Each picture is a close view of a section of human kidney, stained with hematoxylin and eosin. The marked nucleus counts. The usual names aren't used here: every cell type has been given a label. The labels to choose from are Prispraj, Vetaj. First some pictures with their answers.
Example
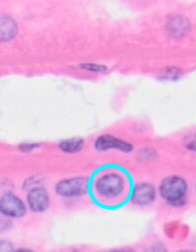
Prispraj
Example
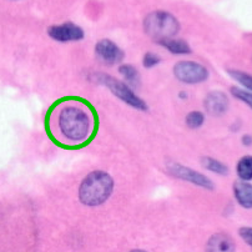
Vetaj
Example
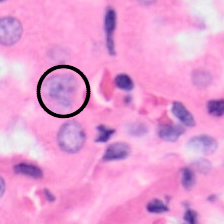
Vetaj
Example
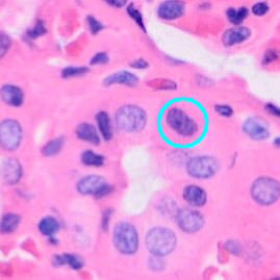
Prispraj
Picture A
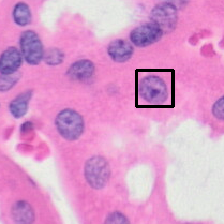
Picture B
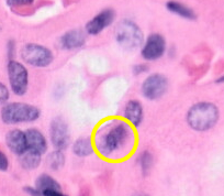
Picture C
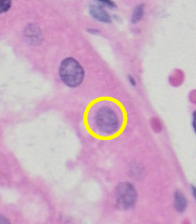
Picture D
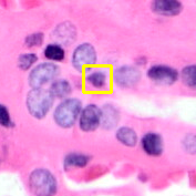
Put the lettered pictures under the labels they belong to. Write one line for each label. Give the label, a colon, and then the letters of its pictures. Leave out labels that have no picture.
Prispraj: B, D
Vetaj: A, C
